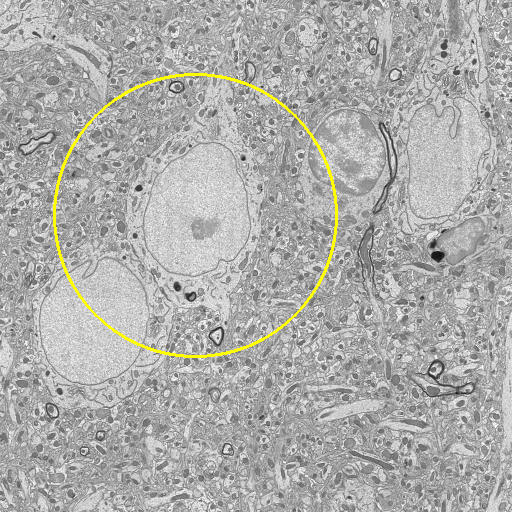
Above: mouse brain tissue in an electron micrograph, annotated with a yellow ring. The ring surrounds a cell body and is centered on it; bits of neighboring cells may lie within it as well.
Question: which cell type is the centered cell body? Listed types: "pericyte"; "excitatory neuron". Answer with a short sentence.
The centered cell body is an excitatory neuron.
